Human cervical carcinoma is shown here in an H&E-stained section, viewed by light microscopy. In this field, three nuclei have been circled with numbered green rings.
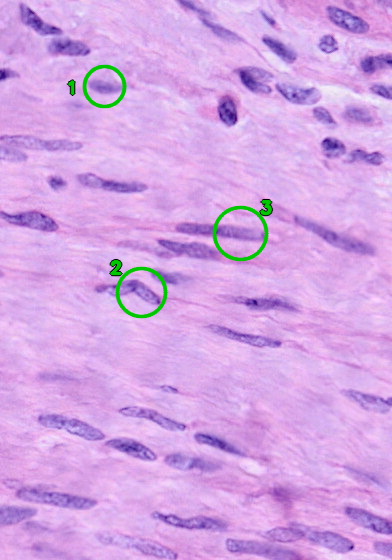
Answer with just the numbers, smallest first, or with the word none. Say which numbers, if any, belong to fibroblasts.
1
